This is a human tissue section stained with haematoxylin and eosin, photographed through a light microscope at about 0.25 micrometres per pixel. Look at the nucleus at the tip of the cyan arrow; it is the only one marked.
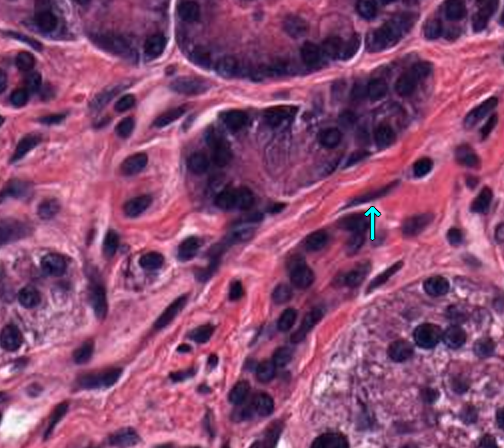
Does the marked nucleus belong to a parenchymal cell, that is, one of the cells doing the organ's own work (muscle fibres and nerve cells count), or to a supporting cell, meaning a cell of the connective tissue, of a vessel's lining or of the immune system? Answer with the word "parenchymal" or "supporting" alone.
supporting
